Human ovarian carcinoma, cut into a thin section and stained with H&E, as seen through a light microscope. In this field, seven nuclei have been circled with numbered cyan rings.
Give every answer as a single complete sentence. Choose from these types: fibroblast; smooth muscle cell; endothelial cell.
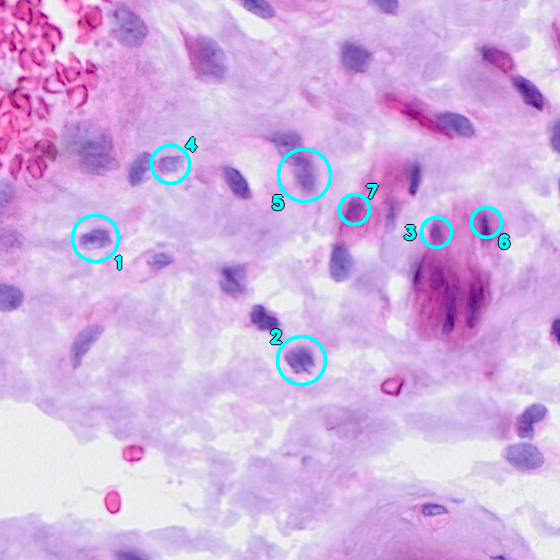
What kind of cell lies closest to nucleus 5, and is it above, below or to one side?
Lying above and to the left of nucleus 5, the nearest nucleus is that of an endothelial cell.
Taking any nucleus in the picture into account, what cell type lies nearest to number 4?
The nearest nucleus to number 4 belongs to a fibroblast.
